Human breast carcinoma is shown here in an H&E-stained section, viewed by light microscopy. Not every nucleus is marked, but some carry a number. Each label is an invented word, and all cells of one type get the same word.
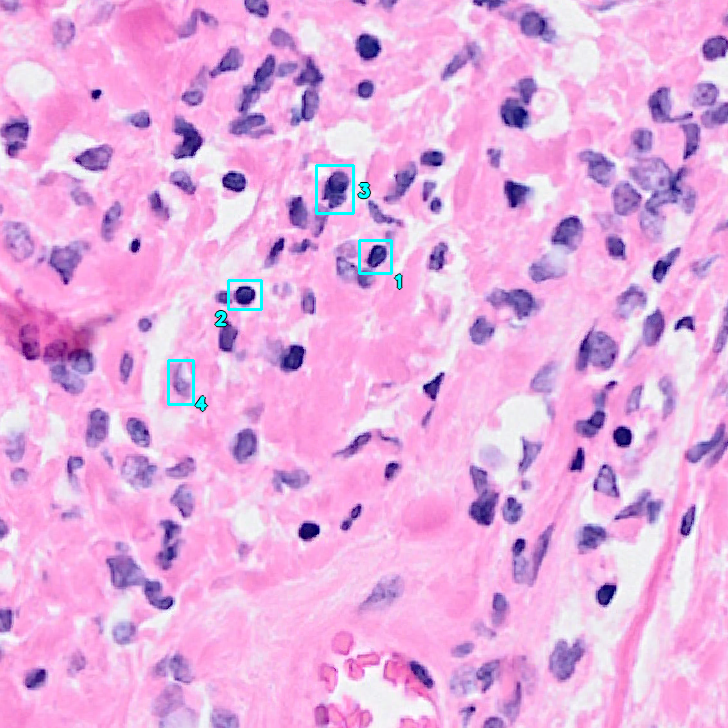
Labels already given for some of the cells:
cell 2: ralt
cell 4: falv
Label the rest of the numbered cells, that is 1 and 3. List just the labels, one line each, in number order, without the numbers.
ralt
ralt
